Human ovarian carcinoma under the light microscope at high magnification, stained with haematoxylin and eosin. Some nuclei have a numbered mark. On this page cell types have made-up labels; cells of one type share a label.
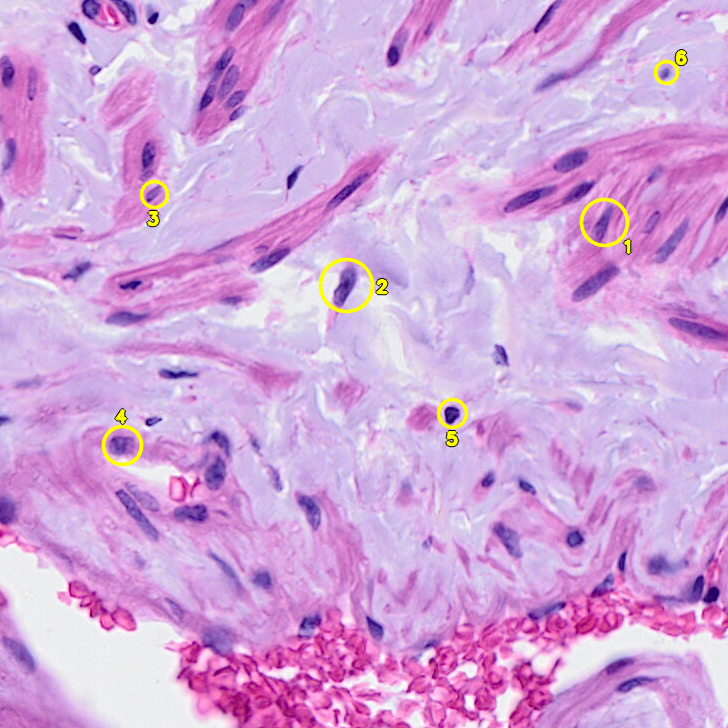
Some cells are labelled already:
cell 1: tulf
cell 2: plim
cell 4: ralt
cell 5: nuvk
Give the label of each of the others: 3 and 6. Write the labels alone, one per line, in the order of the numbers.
tulf
nuvk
